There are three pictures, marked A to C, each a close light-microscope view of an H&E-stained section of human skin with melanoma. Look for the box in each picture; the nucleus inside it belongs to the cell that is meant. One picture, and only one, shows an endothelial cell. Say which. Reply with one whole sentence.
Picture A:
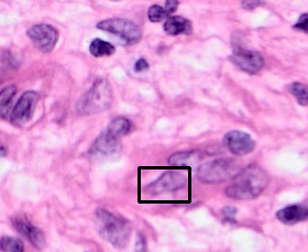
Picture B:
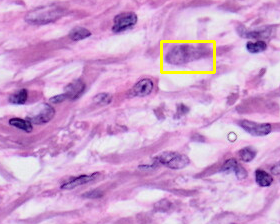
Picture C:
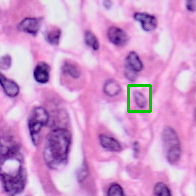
Picture A shows the endothelial cell.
